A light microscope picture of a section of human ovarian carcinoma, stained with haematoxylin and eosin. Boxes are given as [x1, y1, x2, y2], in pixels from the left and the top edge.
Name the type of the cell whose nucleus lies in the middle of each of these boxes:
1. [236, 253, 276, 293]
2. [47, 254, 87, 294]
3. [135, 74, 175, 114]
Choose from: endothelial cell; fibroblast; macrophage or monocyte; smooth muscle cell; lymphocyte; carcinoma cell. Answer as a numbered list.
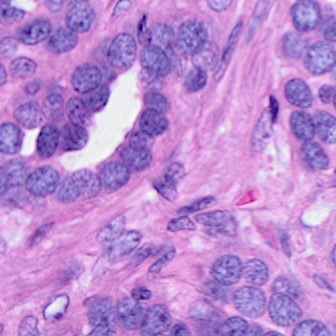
1. carcinoma cell
2. fibroblast
3. carcinoma cell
